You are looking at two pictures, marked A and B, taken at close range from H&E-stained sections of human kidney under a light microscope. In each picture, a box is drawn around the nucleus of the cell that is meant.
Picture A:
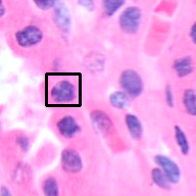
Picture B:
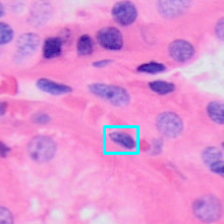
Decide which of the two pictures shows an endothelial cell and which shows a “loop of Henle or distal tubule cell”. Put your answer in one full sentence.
It is picture A that shows a “loop of Henle or distal tubule cell”, and picture B that shows an endothelial cell.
